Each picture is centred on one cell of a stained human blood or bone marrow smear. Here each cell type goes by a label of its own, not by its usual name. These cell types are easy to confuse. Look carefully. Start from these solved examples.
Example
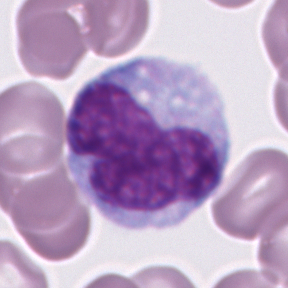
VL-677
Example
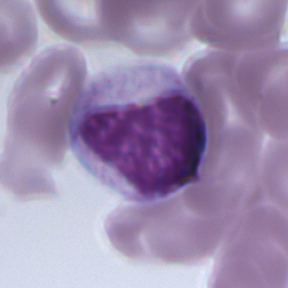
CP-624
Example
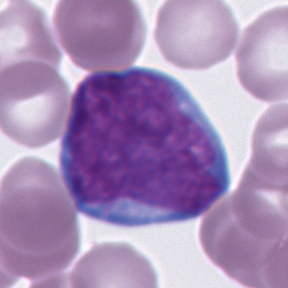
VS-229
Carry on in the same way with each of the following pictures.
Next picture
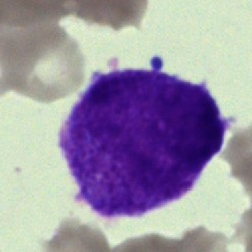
VS-229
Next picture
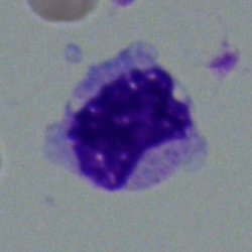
CP-624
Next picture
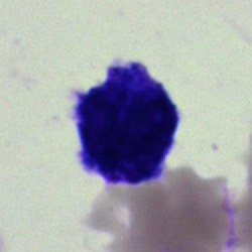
VS-229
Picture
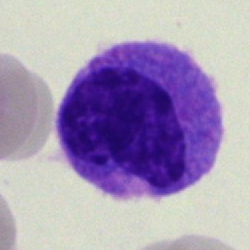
VL-677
